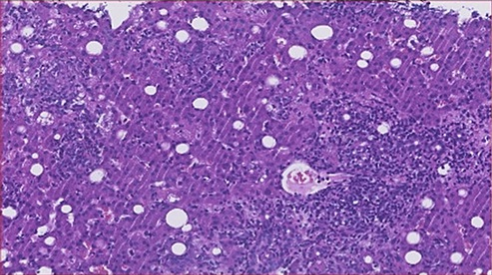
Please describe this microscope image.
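Liver tissue is seen, with plates of pink polygonal hepatocytes that have central round nuclei. Many hepatocytes hold round, clear, empty vacuoles of various sizes. Scattered across the field are dense patches of small inflammatory cells with dark round nuclei, breaking up the hepatocyte plates. A small vessel with a few red blood cells lies near the middle of the field.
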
